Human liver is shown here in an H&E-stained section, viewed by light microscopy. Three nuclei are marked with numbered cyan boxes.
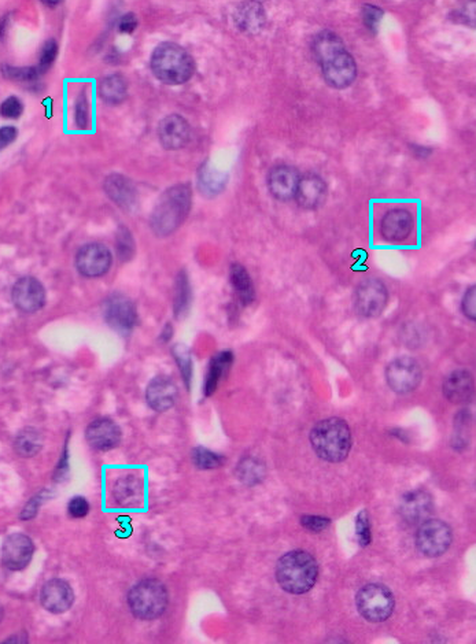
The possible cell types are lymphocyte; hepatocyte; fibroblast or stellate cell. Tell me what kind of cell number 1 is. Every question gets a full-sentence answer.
Cell 1, as marked in the section, is a fibroblast or stellate cell.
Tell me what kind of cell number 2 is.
Number 2 among the marked cells is a hepatocyte.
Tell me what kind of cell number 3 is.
Nucleus 3 in this section belongs to a hepatocyte.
